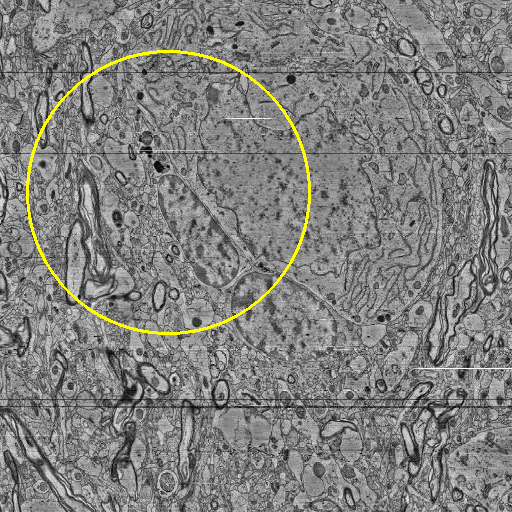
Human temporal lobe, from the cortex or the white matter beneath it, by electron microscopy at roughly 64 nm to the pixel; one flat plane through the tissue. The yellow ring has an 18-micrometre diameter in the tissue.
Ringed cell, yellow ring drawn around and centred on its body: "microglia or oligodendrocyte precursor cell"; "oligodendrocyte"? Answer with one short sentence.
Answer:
This ringed cell is a microglial cell or oligodendrocyte precursor cell.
